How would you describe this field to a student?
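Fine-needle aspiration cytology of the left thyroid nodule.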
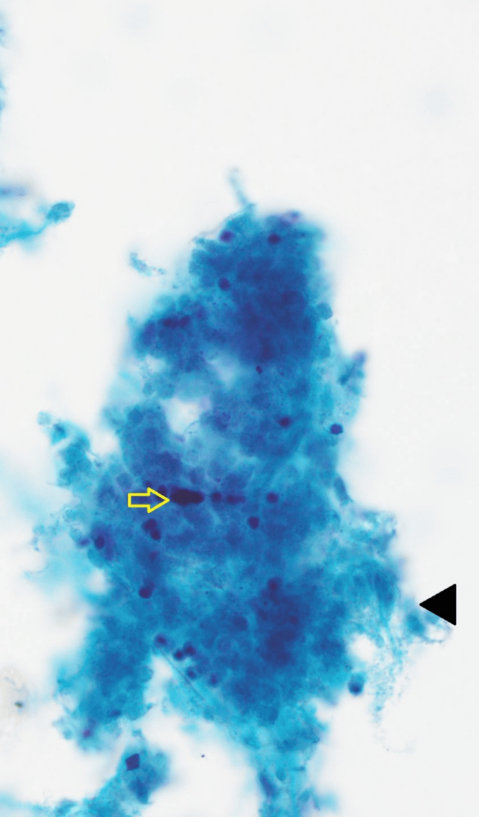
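Small hyperchromatic nuclei are scattered through it, some lying in a short row. None of these nuclei has a visible rim of cytoplasm.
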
